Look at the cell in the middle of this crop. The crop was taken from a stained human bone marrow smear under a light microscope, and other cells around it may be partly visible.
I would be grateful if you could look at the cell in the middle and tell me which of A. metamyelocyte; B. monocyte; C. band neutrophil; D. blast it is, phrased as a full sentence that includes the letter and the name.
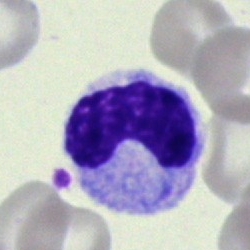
The cell in the middle is correctly identified as a band neutrophil in option C.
